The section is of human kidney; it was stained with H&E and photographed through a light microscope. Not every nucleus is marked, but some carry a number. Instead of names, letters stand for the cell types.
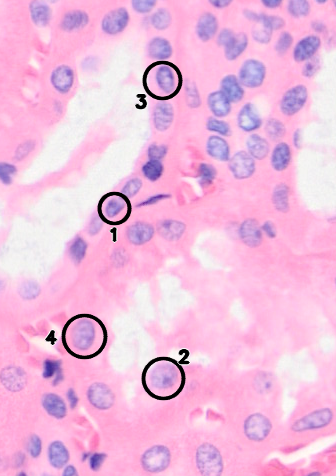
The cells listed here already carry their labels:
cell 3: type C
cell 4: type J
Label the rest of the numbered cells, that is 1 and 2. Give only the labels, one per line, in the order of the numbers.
type C
type J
